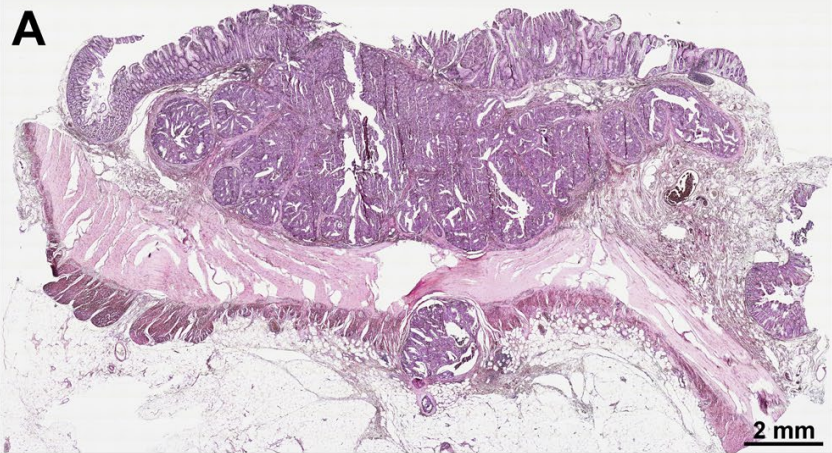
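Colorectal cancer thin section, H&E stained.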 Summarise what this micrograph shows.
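This low-power section of diseased colon wall has a large mass of crowded, dark purple glandular tissue in its upper part. The mass forms rounded nodules packed with irregular glands, with clefts running through it. A broad pink band of muscle runs across the lower half, and loose, pale connective tissue borders it.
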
